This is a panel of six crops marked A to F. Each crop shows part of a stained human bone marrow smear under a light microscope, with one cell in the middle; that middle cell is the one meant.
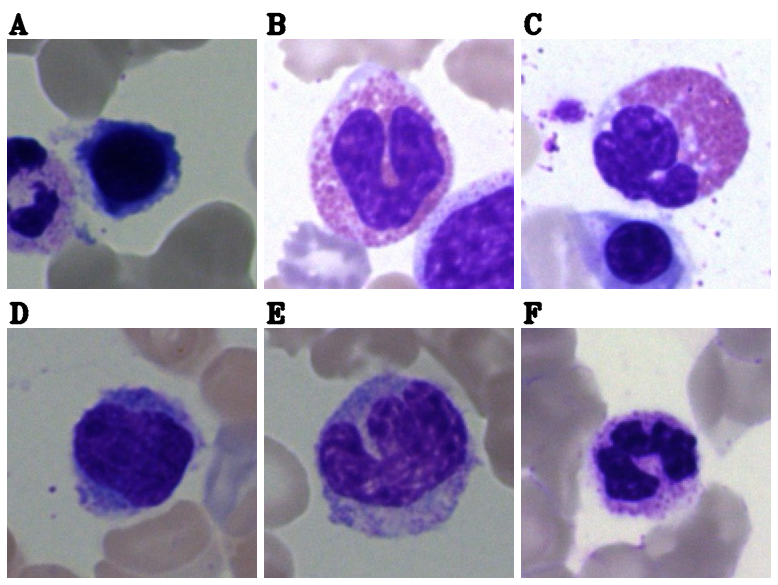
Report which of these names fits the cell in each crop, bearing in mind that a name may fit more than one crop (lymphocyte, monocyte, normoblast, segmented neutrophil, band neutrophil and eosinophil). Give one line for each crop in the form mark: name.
A: normoblast
B: eosinophil
C: eosinophil
D: monocyte
E: monocyte
F: segmented neutrophil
